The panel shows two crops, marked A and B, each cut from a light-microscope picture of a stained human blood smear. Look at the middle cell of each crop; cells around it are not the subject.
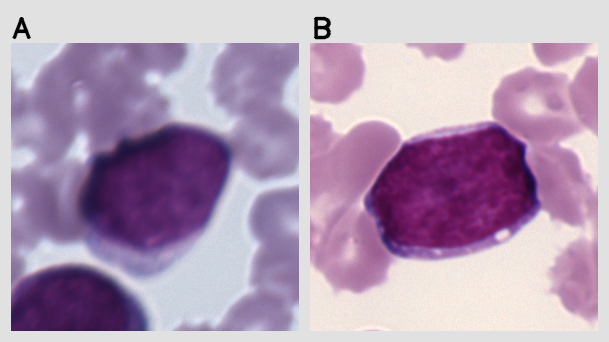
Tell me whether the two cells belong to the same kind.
yes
